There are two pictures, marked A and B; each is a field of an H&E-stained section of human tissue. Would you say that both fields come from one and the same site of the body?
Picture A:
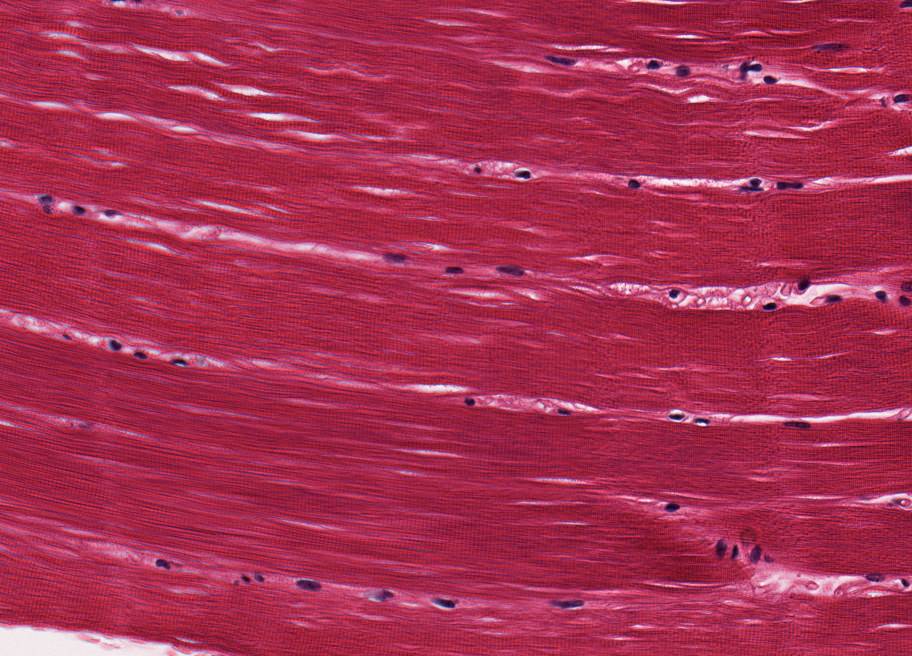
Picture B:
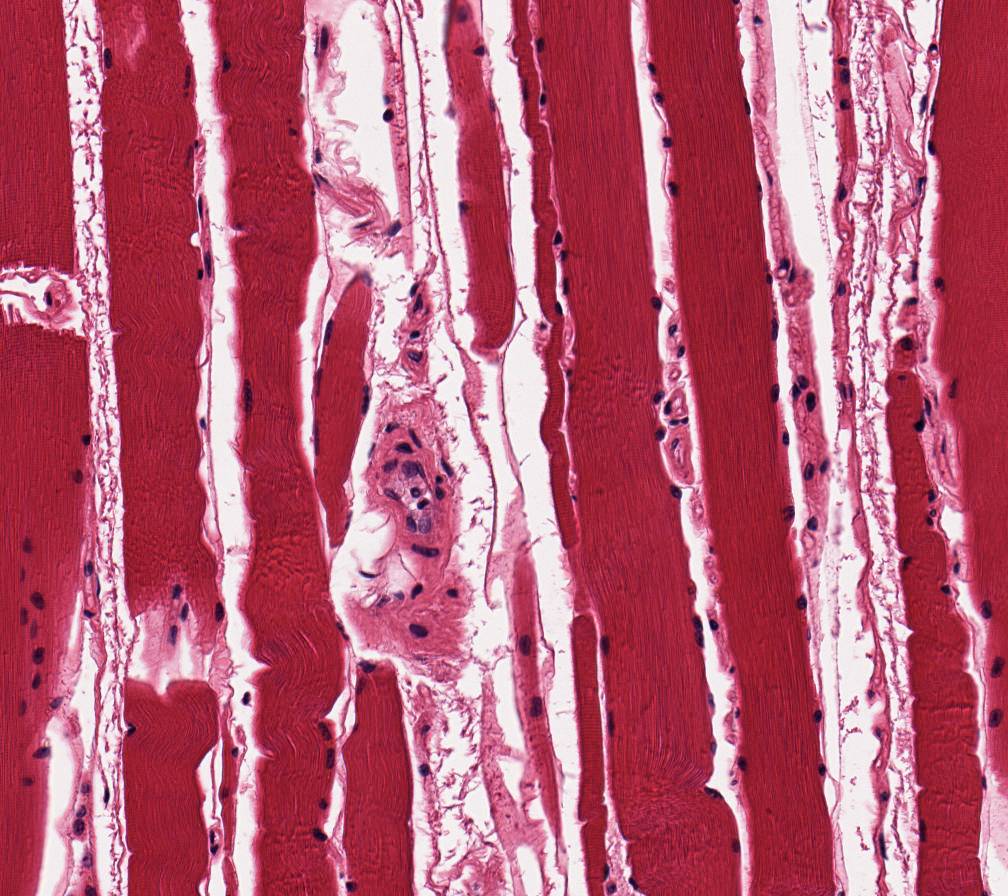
yes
